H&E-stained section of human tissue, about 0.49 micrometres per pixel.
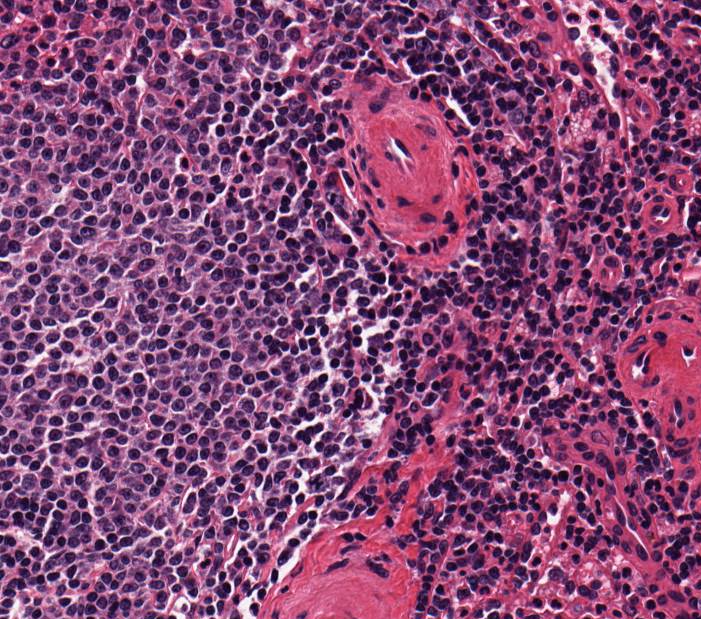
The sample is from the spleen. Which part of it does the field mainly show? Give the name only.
white pulp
